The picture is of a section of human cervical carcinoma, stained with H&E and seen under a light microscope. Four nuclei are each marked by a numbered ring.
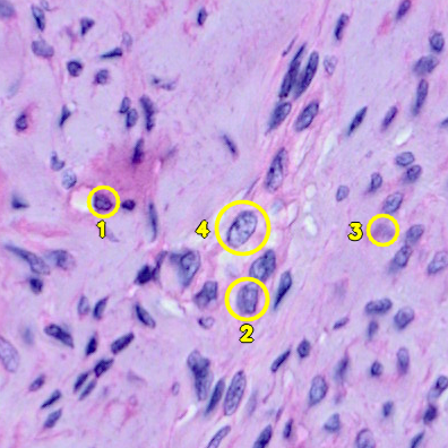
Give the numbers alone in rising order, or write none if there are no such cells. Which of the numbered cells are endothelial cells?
1, 2, 4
